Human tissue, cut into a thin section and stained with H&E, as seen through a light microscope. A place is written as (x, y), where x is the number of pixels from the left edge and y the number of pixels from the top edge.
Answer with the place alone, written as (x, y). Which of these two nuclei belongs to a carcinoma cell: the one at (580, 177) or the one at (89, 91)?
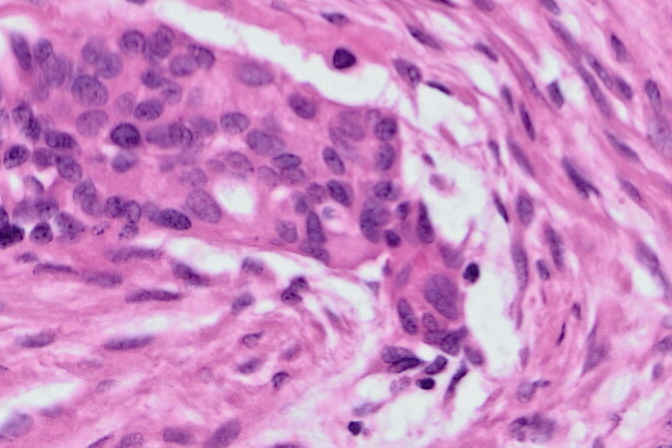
(89, 91)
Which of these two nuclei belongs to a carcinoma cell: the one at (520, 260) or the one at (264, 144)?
(264, 144)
